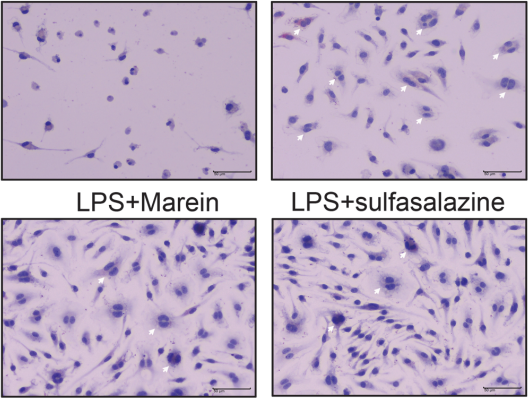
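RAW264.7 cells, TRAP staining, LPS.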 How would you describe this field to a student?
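Four fields of cultured cells stained in shades of purple on a pale lilac background, with dark blue-violet nuclei. In one field the cells are sparse, small, rounded or spindle-shaped, some with thin slender processes. In the other fields the cells are more numerous and more spread out, many spindle-shaped or star-shaped with long, fine processes reaching toward neighbours; in the lower fields they crowd densely. White arrows point to scattered cells that are larger than the rest, with a broad, pale cytoplasm around a cluster of dark nuclear material, standing among the smaller mononuclear cells.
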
